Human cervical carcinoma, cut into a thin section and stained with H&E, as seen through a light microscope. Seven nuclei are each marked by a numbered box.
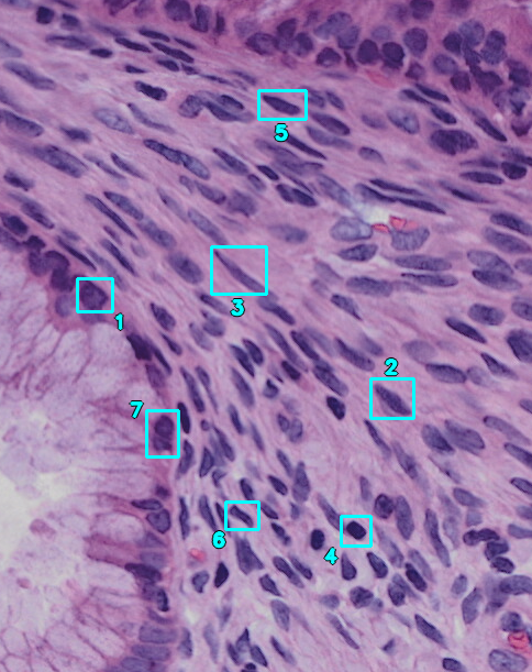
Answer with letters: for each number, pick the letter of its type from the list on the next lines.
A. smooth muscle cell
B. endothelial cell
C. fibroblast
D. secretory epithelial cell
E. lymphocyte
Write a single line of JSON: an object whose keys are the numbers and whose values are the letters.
{"1": "D", "2": "C", "3": "C", "4": "E", "5": "C", "6": "C", "7": "D"}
